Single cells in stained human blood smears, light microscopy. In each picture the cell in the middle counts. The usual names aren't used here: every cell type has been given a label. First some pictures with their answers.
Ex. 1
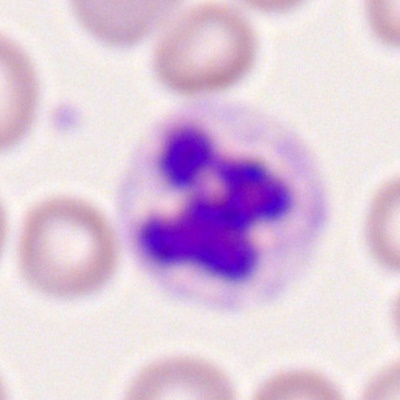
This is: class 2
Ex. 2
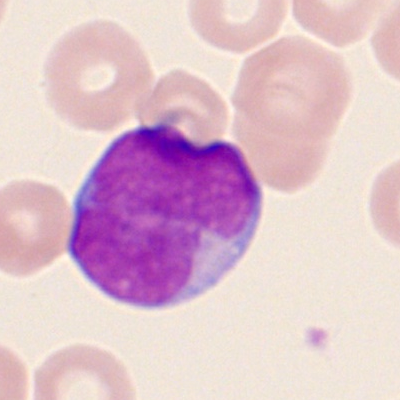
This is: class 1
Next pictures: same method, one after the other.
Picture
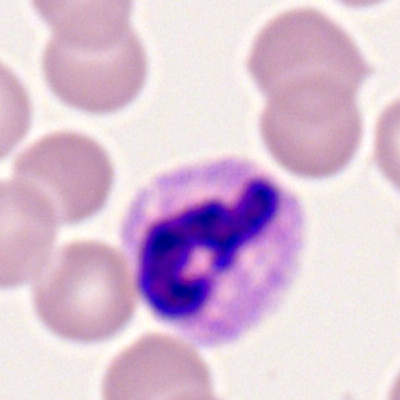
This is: class 2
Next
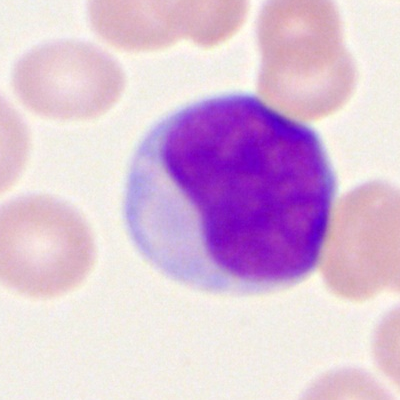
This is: class 1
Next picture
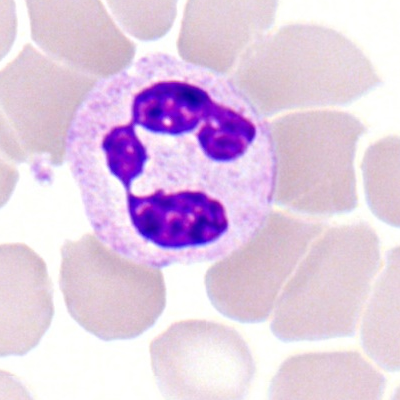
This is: class 2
